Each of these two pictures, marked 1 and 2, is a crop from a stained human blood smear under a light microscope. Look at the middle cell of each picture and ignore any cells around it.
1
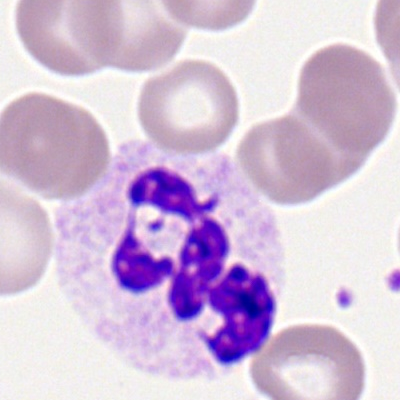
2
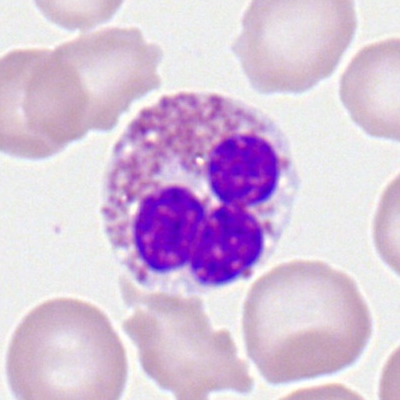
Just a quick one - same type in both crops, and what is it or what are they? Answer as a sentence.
No, the cell of interest in crop 1 is a segmented neutrophil, and in crop 2 it is an eosinophil.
